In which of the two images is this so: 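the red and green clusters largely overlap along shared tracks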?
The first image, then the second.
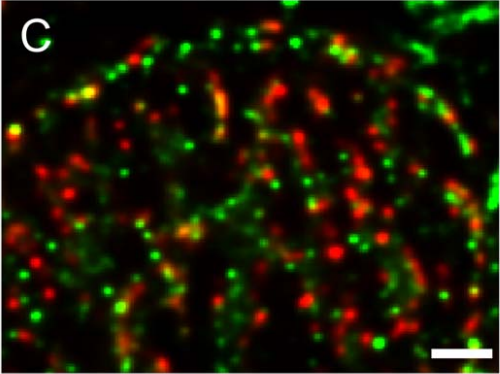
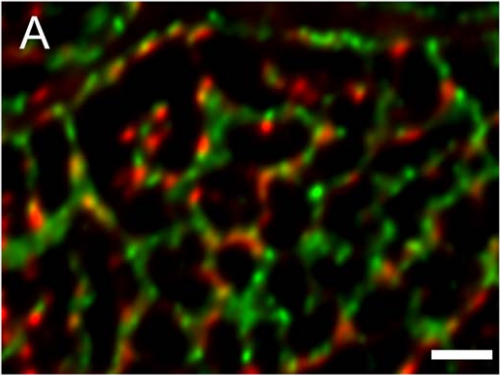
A: the second image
